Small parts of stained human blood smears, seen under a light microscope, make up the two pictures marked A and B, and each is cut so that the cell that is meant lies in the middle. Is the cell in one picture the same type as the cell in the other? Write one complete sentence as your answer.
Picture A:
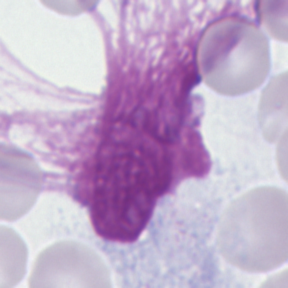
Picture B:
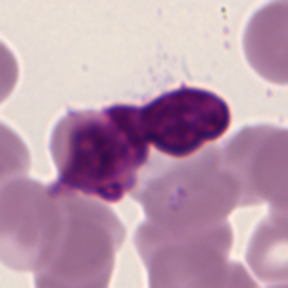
Yes, they are the same type: both are smudge cells.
